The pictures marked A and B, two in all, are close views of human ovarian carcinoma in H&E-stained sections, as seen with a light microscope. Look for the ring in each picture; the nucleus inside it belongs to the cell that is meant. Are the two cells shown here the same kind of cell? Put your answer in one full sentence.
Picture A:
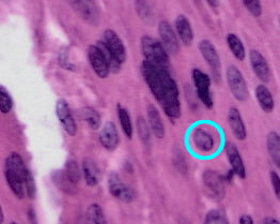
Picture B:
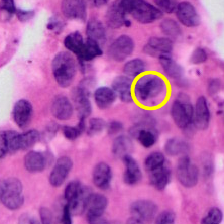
No, the types are not the same, since picture A shows a “macrophage or monocyte” and picture B a carcinoma cell.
